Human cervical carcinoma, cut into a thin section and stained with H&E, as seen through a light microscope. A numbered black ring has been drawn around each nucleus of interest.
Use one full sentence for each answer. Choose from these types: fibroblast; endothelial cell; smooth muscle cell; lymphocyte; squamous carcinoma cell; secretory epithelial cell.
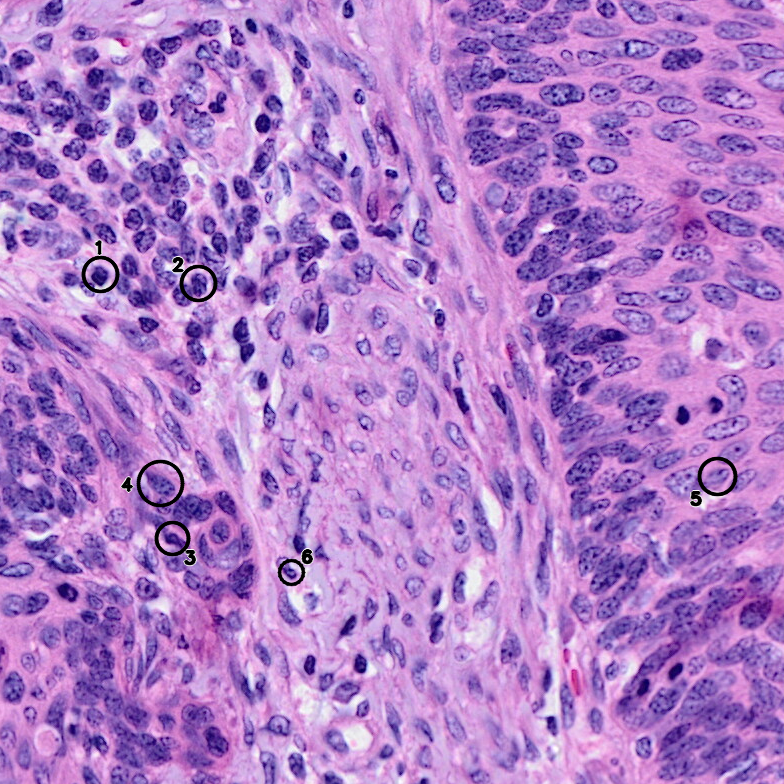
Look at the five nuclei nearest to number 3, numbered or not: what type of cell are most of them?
Around number 3, most of the five nearest nuclei are those of squamous carcinoma cells.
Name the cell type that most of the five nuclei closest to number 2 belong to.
Lymphocytes account for more than half of the five nuclei nearest to number 2.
